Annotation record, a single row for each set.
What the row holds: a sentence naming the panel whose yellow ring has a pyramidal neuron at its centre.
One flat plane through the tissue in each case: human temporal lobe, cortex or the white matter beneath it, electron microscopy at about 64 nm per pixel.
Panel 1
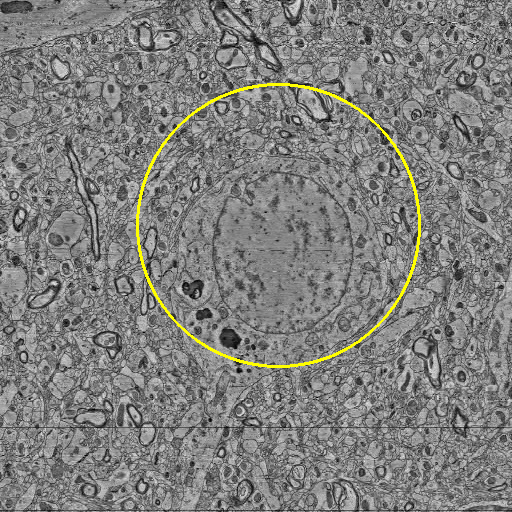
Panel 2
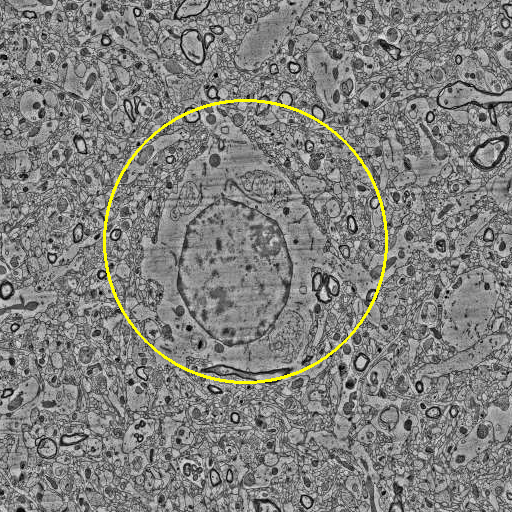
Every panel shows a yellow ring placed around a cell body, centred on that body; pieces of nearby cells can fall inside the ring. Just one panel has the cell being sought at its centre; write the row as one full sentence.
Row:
In panel 1, the cell at the middle of the yellow ring is the one sought.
